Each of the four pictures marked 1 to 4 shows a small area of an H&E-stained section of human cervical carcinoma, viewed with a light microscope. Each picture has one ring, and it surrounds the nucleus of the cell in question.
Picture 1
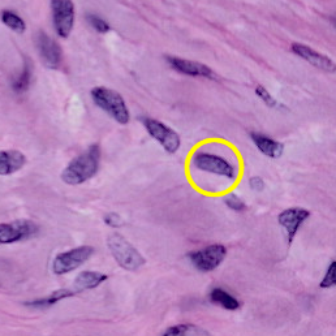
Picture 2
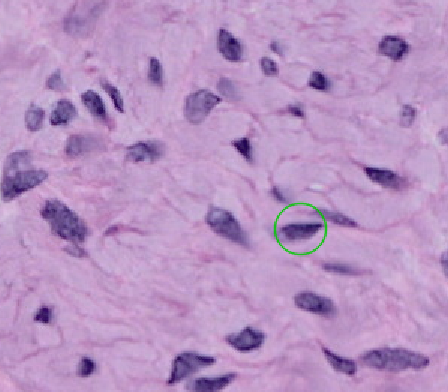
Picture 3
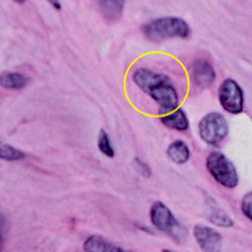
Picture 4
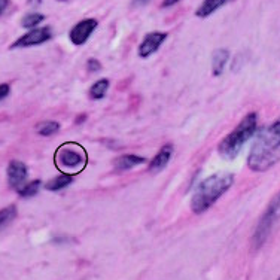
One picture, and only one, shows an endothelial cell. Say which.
3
